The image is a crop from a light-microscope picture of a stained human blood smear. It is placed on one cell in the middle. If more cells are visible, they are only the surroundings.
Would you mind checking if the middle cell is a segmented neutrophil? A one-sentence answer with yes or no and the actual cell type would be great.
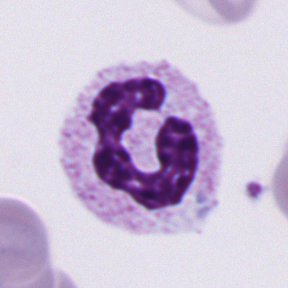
Yes, the cell in the middle is a segmented neutrophil.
